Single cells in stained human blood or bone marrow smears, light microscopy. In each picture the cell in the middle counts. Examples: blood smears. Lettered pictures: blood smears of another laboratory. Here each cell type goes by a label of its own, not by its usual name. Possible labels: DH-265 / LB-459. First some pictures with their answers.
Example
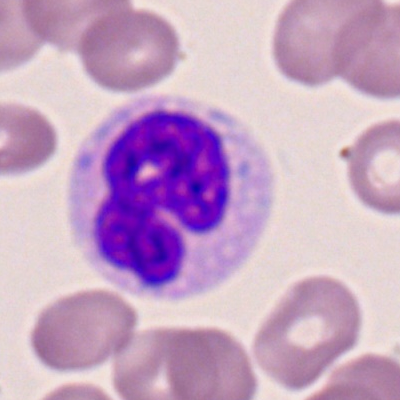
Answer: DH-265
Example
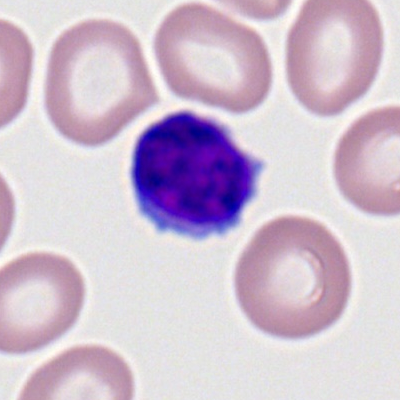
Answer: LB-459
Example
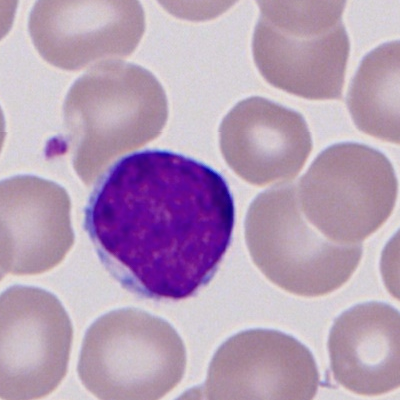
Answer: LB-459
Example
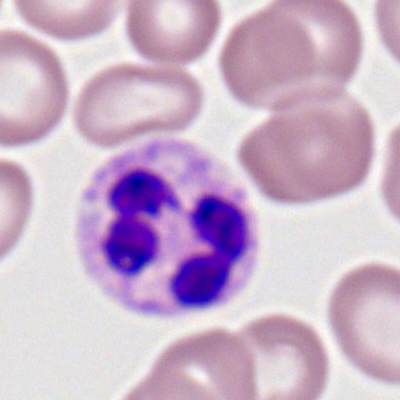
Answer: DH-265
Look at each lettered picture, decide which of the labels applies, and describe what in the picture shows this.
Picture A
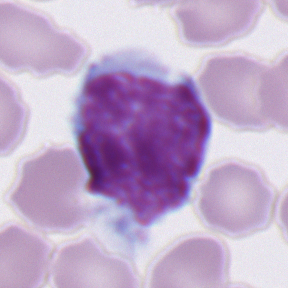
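LB-459. Evidence: The nucleus fills most of the cell and leaves only a narrow rim of cytoplasm.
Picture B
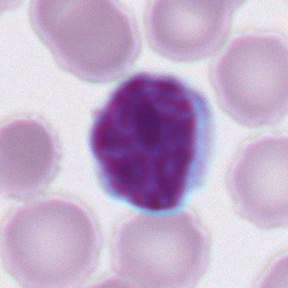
LB-459. Evidence: The cytoplasm is scant and shows mainly as a thin rim along the right side of the nucleus.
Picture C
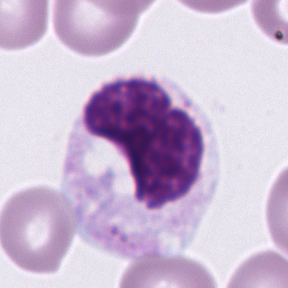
DH-265. Evidence: The cytoplasm is abundant and pale greyish-blue.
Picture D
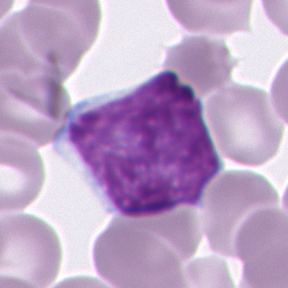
LB-459. Evidence: The cytoplasm is only a very thin rim, seen mostly along the left edge.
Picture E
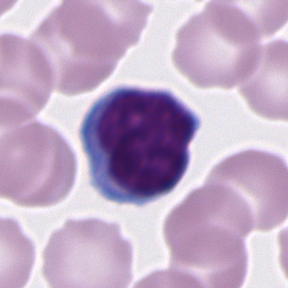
LB-459. Evidence: The cytoplasm forms a thin rim that is widest at the lower left of the cell.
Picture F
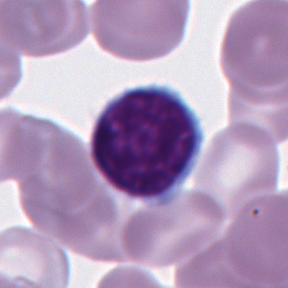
LB-459. Evidence: The cytoplasm is only a very thin rim around the nucleus.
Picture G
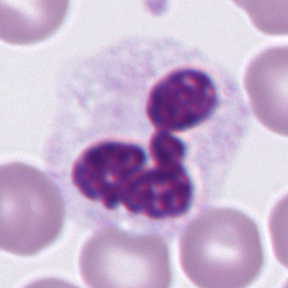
DH-265. Evidence: The cytoplasm is plentiful and very pale, almost colourless.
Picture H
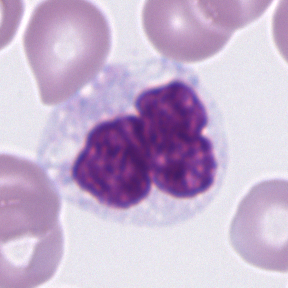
DH-265. Evidence: The cytoplasm forms a broad, very pale bluish-grey rim around the nucleus.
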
